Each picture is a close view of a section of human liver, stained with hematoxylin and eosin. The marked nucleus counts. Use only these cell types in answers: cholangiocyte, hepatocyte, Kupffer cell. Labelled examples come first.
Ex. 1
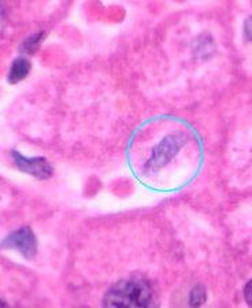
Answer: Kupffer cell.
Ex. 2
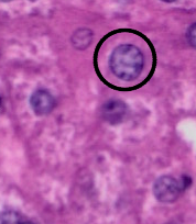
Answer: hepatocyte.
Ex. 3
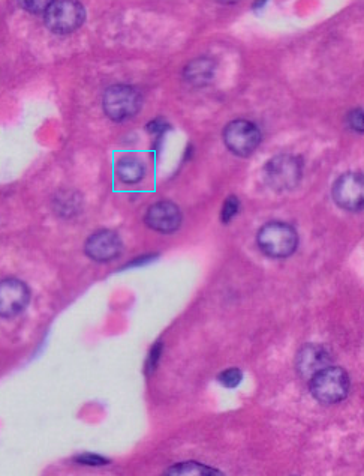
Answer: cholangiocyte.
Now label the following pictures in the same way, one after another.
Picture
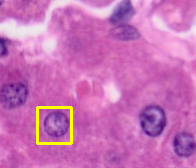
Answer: hepatocyte.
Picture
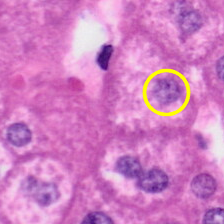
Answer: hepatocyte.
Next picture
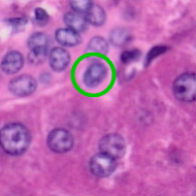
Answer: cholangiocyte.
